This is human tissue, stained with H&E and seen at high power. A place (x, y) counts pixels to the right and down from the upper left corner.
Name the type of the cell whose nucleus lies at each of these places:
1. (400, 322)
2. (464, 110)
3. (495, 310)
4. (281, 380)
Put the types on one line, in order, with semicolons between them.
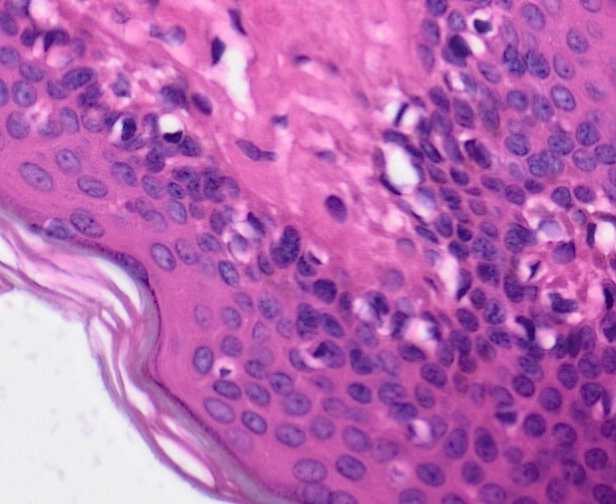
basal keratinocyte; basal keratinocyte; basal keratinocyte; suprabasal keratinocyte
